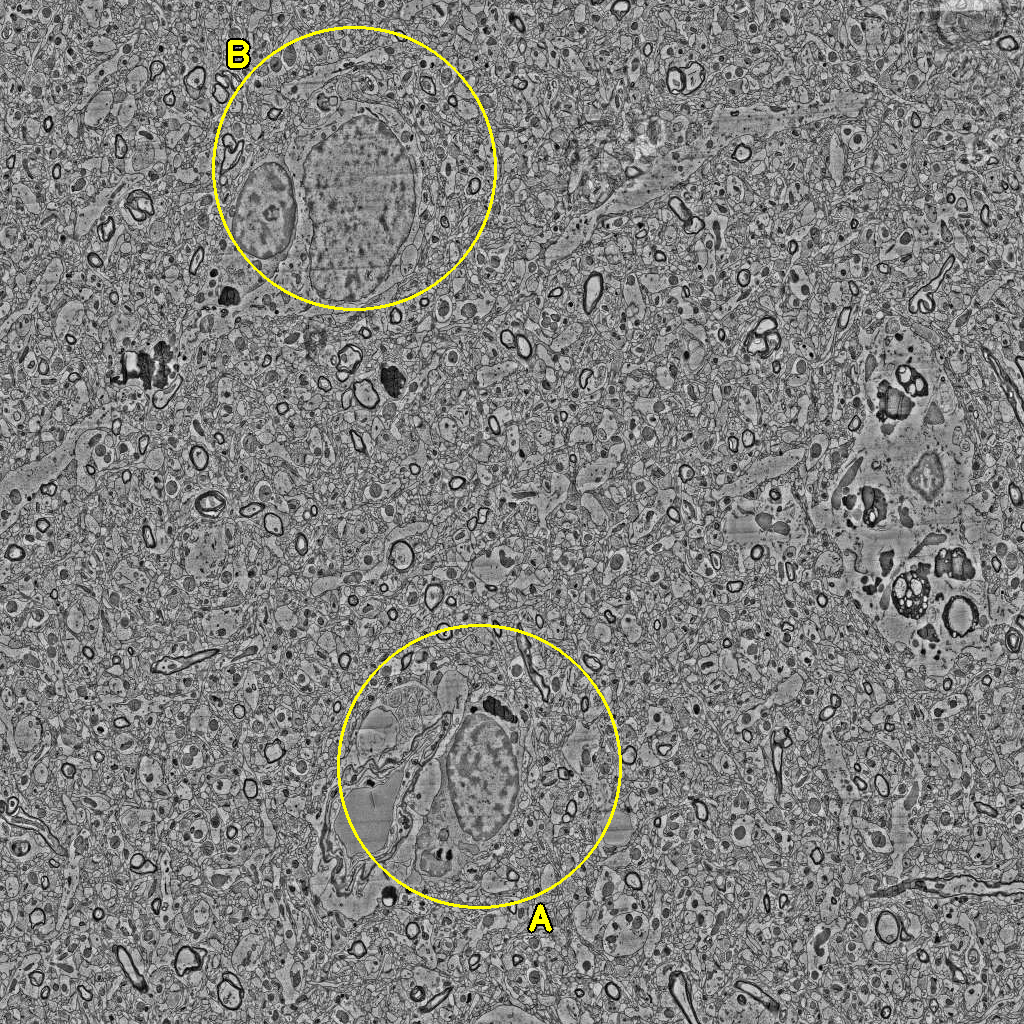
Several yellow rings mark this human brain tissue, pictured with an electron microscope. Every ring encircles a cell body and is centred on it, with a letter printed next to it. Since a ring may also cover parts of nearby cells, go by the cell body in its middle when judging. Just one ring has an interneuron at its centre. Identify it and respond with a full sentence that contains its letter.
The answer is ring B, whose centre rests on the cell asked for.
